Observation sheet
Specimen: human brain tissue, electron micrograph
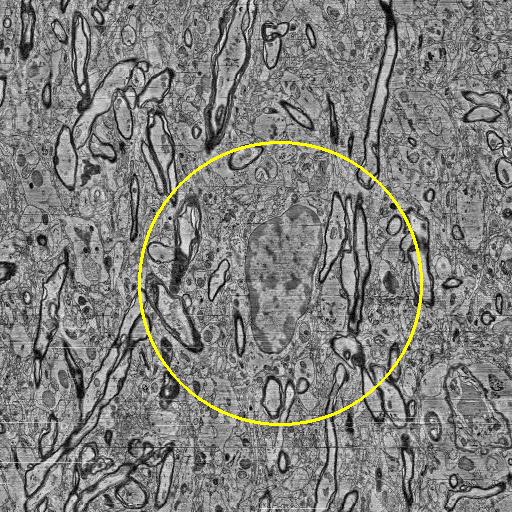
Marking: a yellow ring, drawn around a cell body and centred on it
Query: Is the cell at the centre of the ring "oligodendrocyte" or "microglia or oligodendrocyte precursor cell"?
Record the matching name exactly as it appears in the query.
microglia or oligodendrocyte precursor cell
